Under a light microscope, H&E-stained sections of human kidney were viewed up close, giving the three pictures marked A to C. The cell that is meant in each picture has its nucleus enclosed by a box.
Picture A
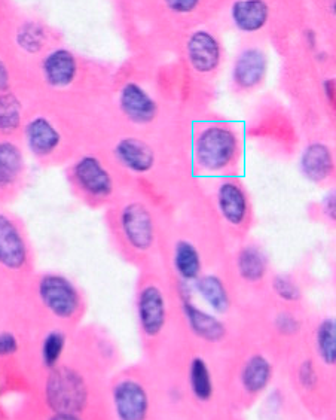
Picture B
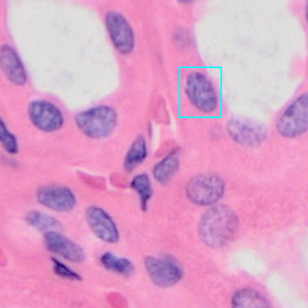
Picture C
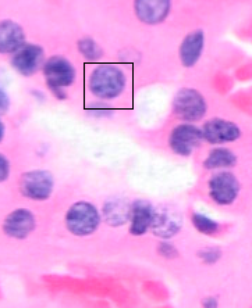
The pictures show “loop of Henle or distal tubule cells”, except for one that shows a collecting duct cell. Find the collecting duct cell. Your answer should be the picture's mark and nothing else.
C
